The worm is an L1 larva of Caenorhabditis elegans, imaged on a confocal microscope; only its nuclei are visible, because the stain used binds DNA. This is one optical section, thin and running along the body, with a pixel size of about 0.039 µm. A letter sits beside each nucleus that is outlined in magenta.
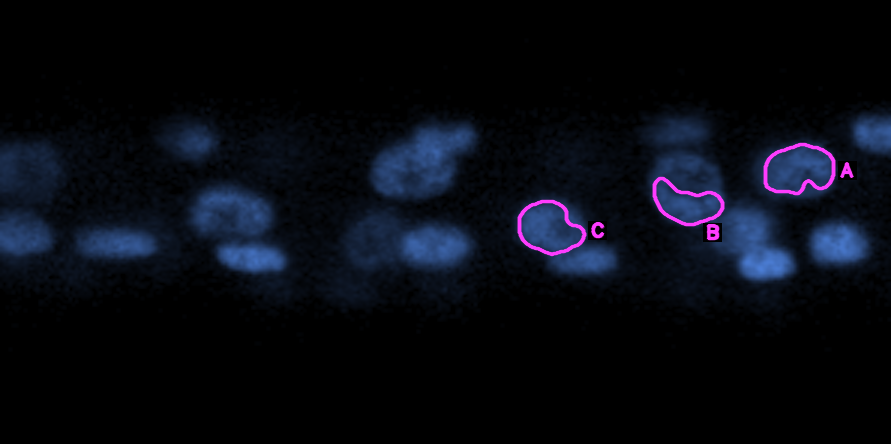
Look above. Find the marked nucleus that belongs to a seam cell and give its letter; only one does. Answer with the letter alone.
C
